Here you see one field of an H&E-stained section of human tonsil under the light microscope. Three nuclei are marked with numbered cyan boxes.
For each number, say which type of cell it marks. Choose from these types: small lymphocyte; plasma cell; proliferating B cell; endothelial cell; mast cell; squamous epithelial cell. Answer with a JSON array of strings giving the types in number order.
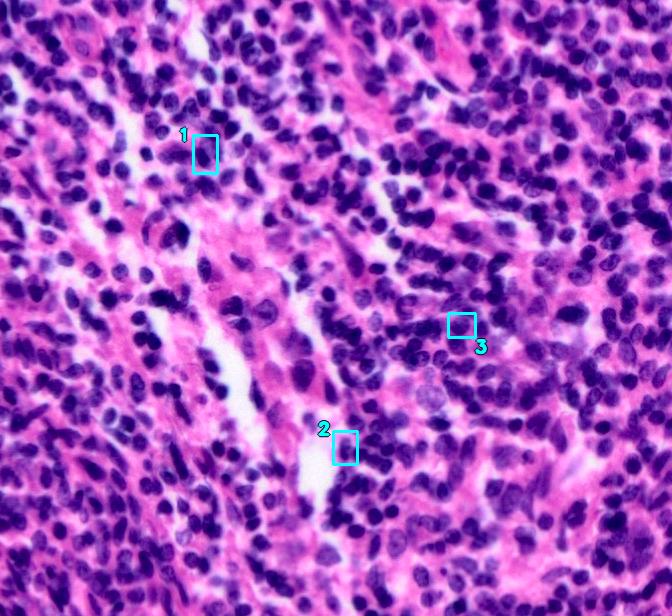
["proliferating B cell", "small lymphocyte", "small lymphocyte"]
